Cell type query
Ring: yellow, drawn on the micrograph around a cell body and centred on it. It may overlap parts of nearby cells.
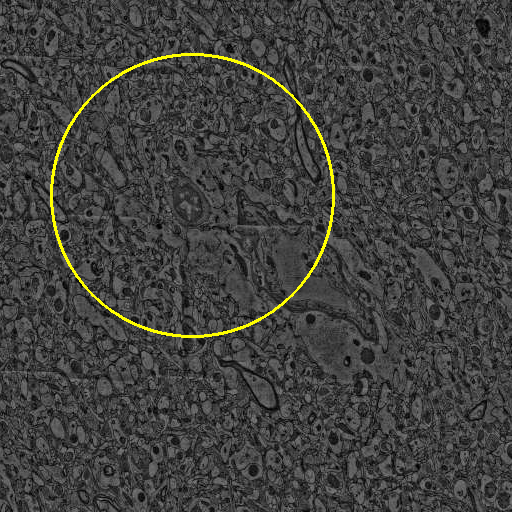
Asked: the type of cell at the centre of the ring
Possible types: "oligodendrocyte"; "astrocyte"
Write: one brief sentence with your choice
The ring marks an oligodendrocyte.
